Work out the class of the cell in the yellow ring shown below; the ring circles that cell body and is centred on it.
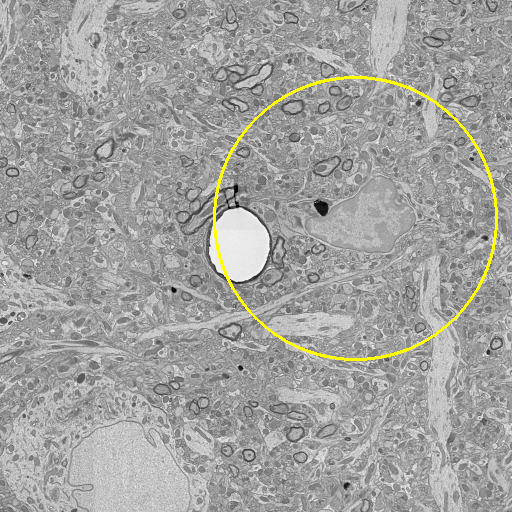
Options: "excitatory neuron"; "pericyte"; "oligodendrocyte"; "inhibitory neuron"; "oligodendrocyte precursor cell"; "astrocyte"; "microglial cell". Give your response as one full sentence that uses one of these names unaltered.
The body ringed in yellow, right at the ring's centre, is that of a microglial cell.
